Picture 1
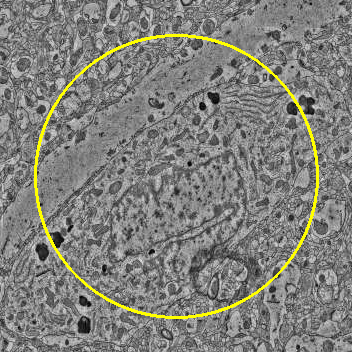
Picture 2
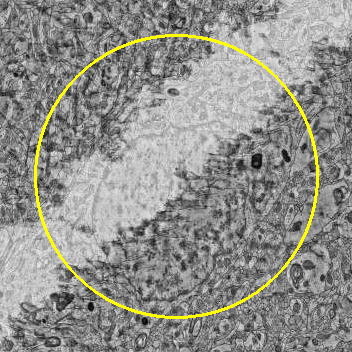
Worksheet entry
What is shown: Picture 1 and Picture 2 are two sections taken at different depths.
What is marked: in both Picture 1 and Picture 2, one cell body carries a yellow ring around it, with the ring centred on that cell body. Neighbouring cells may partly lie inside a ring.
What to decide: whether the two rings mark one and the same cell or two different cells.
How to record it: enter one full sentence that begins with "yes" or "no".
Yes, the two rings mark one cell and not separate cells.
